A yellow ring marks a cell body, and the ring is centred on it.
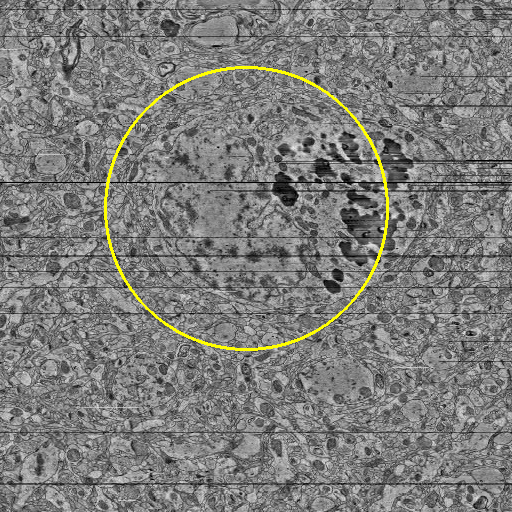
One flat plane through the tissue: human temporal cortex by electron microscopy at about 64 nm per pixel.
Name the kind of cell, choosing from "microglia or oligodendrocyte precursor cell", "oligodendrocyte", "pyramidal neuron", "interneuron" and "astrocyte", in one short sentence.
The marked cell body belongs to an interneuron.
